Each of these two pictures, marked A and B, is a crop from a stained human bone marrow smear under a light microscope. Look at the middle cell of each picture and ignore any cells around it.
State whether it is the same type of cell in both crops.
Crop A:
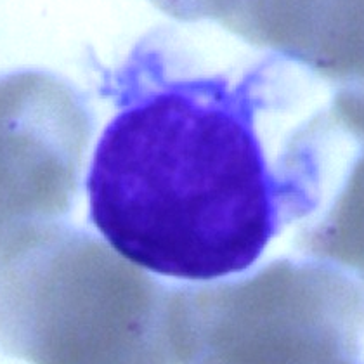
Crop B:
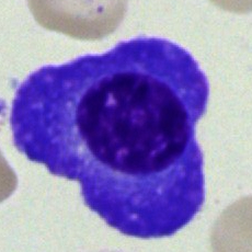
no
